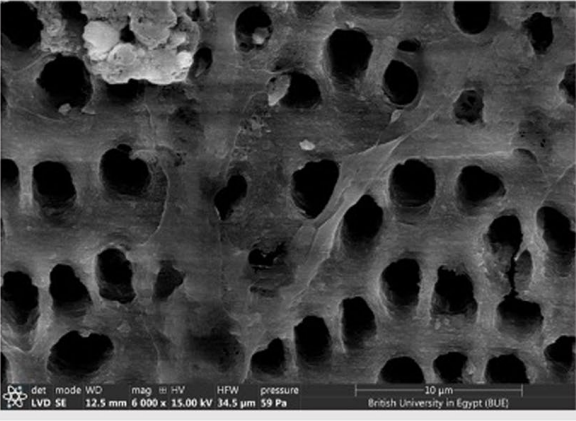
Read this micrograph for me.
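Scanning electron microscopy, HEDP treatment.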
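Thin, flattened cytoplasmic extensions stretch across the surface between the tubule openings and partly bridge them. A rounded, lumpy mass sits on the surface near the upper edge. The intertubular dentin between the cell material appears smooth.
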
